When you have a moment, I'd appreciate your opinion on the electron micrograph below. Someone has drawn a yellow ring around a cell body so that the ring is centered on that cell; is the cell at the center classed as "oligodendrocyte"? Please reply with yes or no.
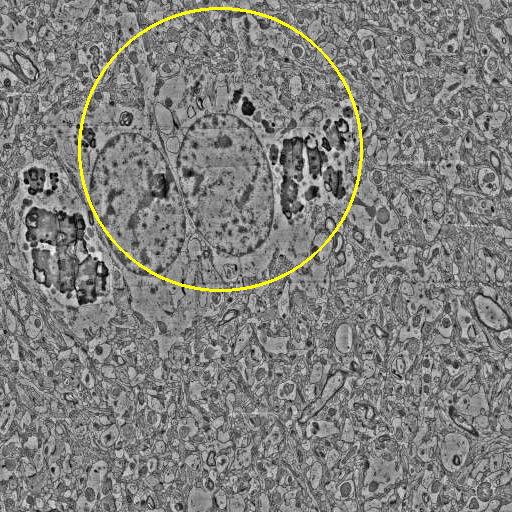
No, that cell belongs to another kind.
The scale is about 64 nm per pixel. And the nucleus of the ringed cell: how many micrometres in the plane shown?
Roughly 9 by 6 micrometers, clearly longer than it is wide in this plane.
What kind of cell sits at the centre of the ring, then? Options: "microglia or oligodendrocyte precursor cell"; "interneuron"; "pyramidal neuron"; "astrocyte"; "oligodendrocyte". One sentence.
That cell in the ring is an astrocyte instead.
